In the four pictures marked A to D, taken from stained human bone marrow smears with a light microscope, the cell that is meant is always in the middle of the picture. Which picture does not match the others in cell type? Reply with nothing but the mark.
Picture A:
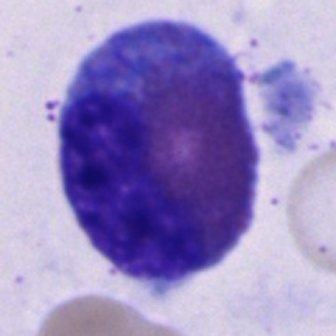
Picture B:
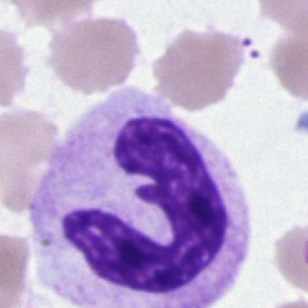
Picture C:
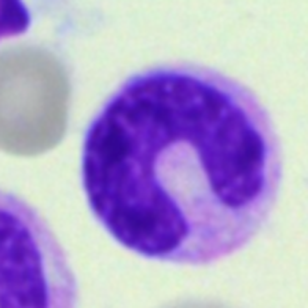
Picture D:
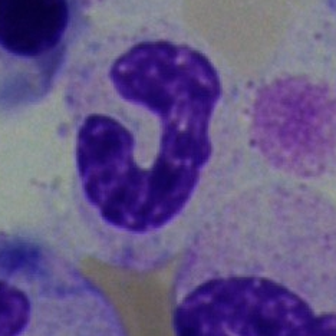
A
